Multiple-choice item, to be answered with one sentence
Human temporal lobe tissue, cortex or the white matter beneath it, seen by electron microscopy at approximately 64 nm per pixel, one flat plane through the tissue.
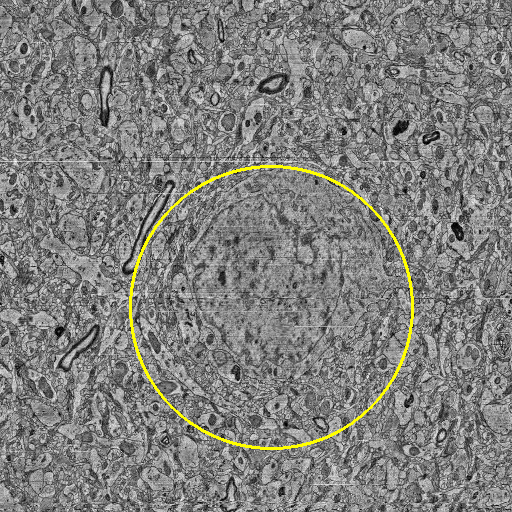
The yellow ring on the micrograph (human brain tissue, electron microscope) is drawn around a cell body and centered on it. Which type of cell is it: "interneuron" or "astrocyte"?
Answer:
The ring is centered on an interneuron.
